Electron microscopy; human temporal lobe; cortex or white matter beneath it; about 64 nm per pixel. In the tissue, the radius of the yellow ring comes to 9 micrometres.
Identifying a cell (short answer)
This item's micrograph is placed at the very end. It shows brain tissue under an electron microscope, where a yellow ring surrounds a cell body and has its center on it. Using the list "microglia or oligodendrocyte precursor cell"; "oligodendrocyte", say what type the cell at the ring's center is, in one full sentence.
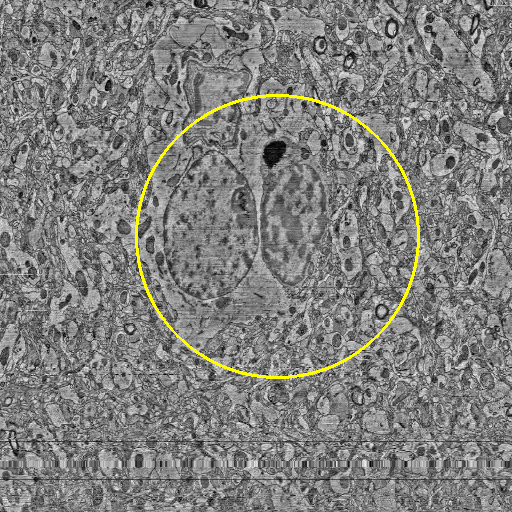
This picture shows an oligodendrocyte at the center of the yellow ring drawn on it.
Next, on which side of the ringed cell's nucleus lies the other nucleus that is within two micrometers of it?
The other nucleus lies to the lower left of it in the picture.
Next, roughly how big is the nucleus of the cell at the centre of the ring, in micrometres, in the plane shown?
Roughly 8 micrometres long and 4 micrometres wide; in this plane the nucleus is clearly longer than it is wide.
